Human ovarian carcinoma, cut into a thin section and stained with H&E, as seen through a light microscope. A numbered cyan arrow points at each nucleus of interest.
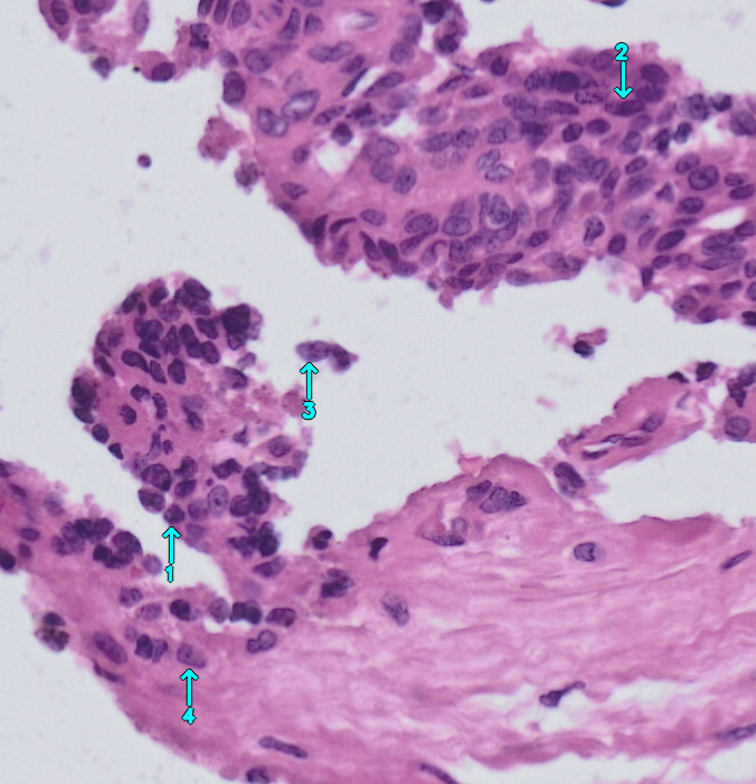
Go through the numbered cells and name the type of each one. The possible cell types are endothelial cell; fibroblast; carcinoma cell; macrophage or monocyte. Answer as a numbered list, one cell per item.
1. carcinoma cell
2. carcinoma cell
3. carcinoma cell
4. macrophage or monocyte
